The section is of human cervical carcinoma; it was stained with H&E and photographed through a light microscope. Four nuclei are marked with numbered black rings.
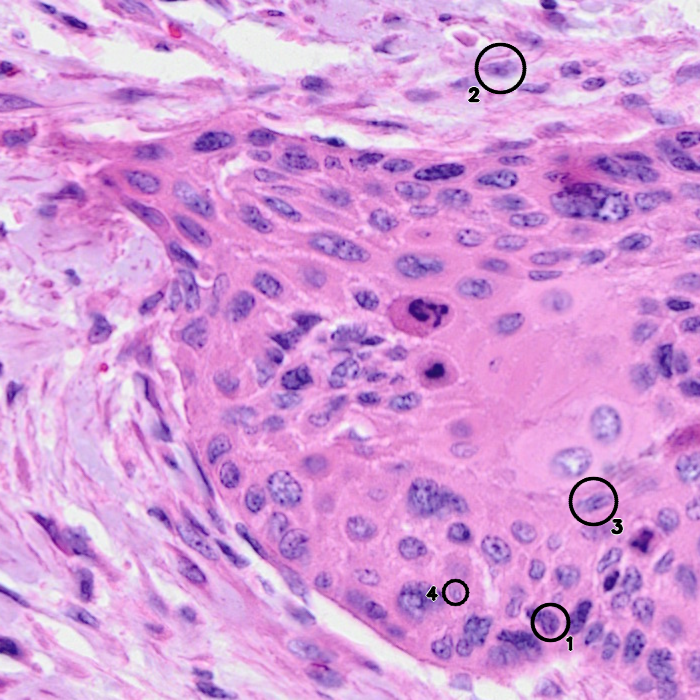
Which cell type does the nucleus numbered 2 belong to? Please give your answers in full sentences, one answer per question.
The cell given label 2 is a fibroblast.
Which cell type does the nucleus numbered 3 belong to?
The cell tagged with 3 in this tissue section is a squamous carcinoma cell.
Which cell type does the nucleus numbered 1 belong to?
The cell with the number 1 is a squamous carcinoma cell.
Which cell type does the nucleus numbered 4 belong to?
The cell identified by the number 4 is a squamous carcinoma cell.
